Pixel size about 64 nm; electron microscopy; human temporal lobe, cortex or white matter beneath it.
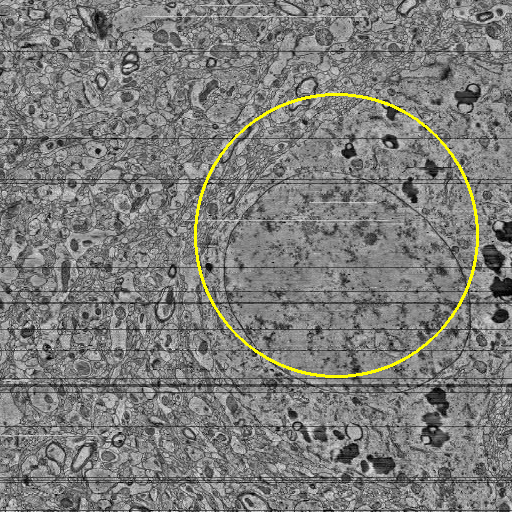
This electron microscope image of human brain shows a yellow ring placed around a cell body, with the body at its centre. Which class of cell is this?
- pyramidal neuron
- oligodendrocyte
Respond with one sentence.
The cell body at the ring's centre is a pyramidal neuron.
